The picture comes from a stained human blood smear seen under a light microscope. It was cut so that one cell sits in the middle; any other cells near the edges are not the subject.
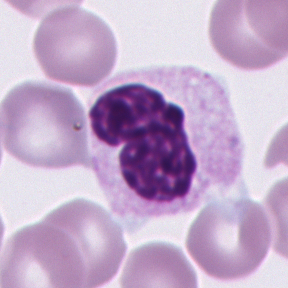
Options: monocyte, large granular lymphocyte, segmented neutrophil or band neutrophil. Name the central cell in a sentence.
Centrally within this crop lies a segmented neutrophil.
